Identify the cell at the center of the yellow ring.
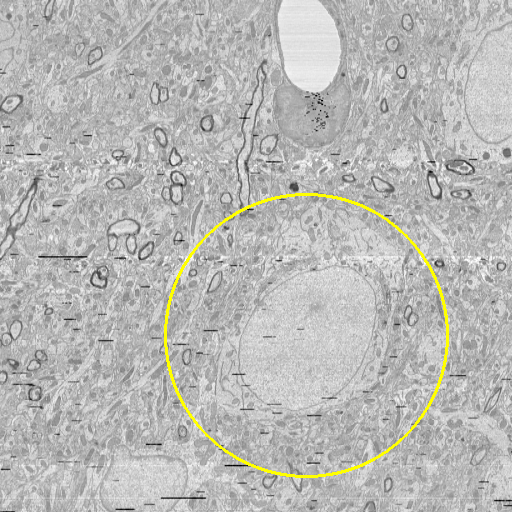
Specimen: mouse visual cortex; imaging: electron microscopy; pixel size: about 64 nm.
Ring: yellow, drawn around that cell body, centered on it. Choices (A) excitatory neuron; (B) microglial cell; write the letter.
A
